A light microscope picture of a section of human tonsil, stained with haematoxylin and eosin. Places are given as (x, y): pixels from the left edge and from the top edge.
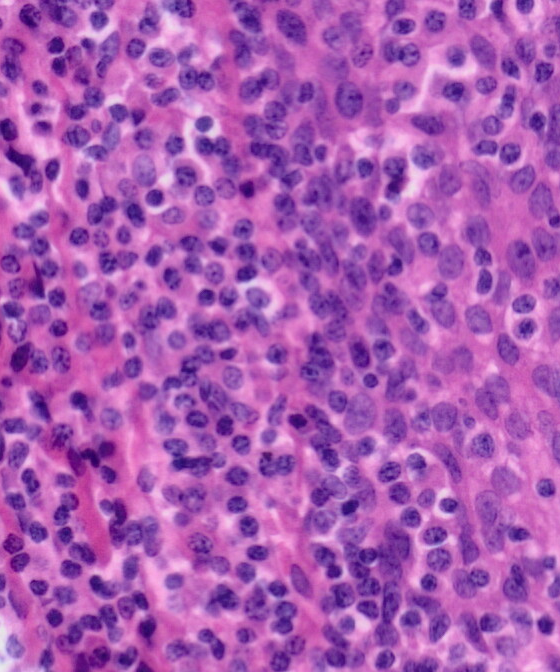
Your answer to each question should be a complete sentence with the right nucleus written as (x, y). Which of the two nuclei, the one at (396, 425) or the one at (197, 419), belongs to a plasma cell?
So, of the two, the nucleus at (197, 419) is the one belonging to a plasma cell.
